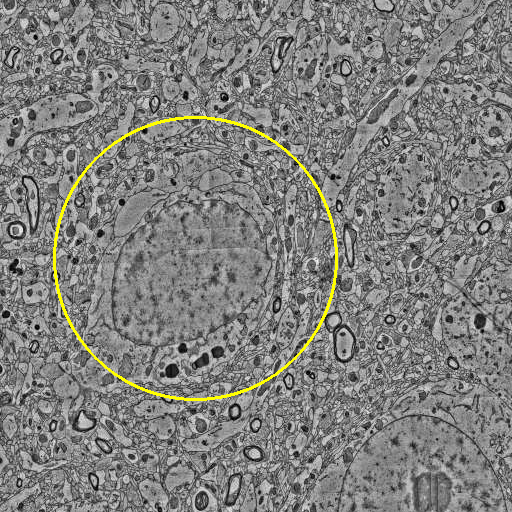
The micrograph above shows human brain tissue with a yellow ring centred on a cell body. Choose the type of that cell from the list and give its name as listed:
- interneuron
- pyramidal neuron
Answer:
interneuron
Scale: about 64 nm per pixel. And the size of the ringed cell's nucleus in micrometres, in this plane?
The nucleus of the ringed cell is approximately 11 by 8 micrometres in this plane.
